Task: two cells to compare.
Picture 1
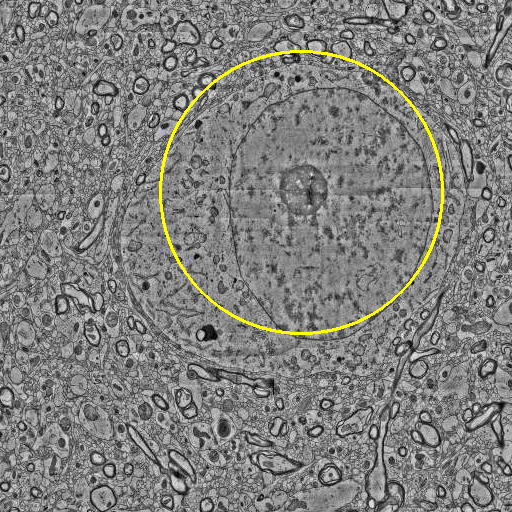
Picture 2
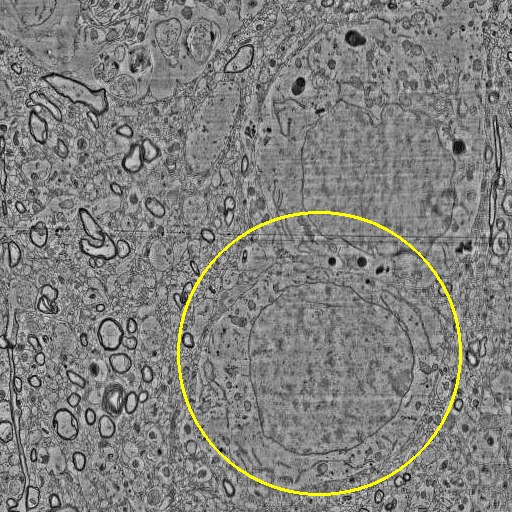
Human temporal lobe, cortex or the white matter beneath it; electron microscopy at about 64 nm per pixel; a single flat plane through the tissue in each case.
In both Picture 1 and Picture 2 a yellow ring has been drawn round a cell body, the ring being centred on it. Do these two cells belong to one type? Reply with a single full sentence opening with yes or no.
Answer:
Yes, the two cells at the ring centres in Picture 1 and Picture 2 share one type.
